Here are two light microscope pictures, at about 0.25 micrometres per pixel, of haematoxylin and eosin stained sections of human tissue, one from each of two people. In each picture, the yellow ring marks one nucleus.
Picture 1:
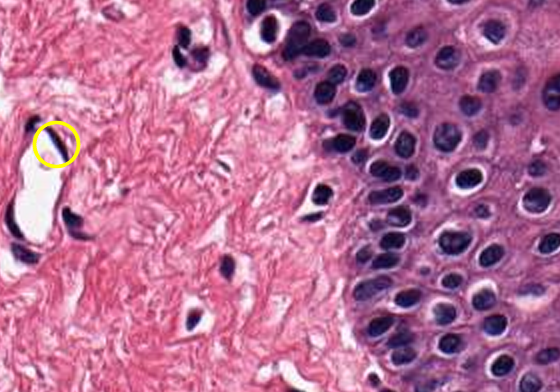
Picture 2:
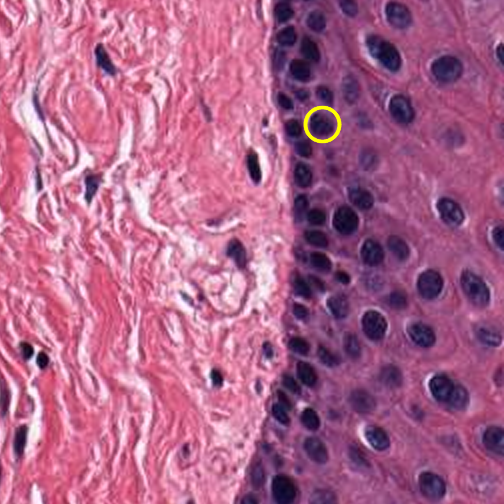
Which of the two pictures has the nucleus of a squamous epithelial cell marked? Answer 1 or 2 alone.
2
